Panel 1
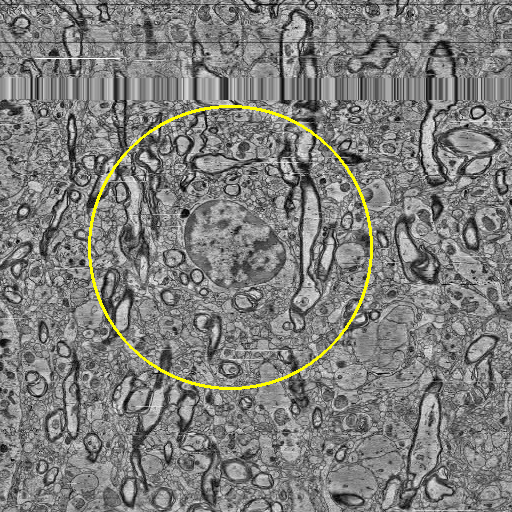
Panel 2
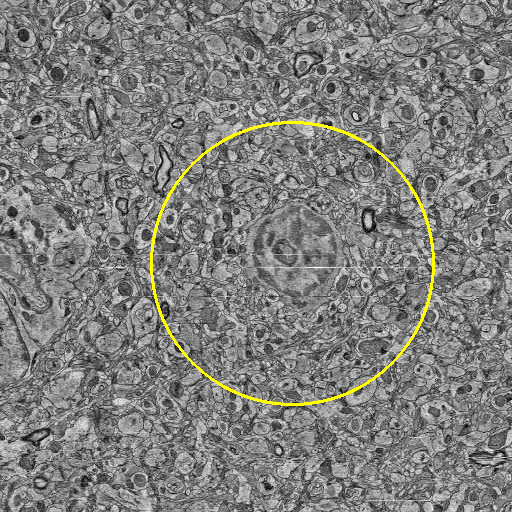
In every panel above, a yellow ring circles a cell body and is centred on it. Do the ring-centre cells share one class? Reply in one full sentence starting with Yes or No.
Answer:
No, the two cells at the ring centres in the panels belong to two classes.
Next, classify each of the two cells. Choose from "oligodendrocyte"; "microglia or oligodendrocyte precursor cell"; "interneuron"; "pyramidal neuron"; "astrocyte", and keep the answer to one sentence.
In the first picture it is a microglial cell or oligodendrocyte precursor cell; in the second it is an oligodendrocyte.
